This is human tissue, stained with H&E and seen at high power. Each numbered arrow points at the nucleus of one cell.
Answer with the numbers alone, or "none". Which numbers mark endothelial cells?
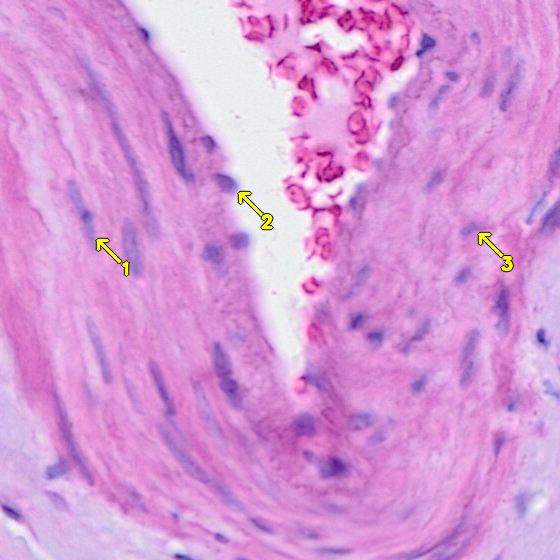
2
